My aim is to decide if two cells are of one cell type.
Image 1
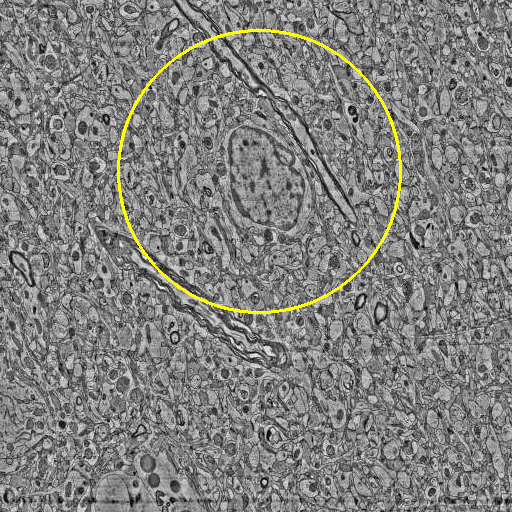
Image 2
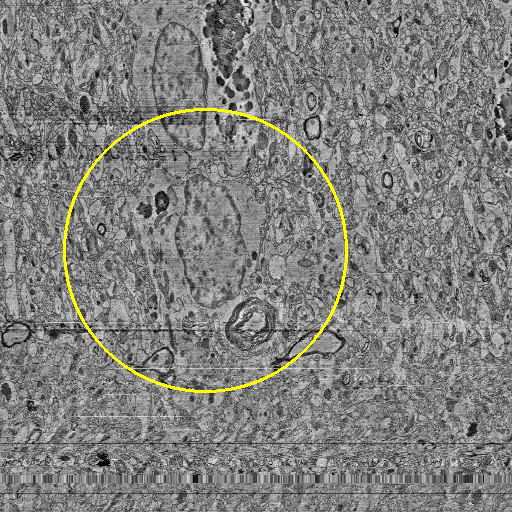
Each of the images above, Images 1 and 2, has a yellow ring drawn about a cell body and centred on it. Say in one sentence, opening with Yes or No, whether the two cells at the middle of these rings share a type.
No, in Images 1 and 2 the cells at the middle of the rings fall into two types.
